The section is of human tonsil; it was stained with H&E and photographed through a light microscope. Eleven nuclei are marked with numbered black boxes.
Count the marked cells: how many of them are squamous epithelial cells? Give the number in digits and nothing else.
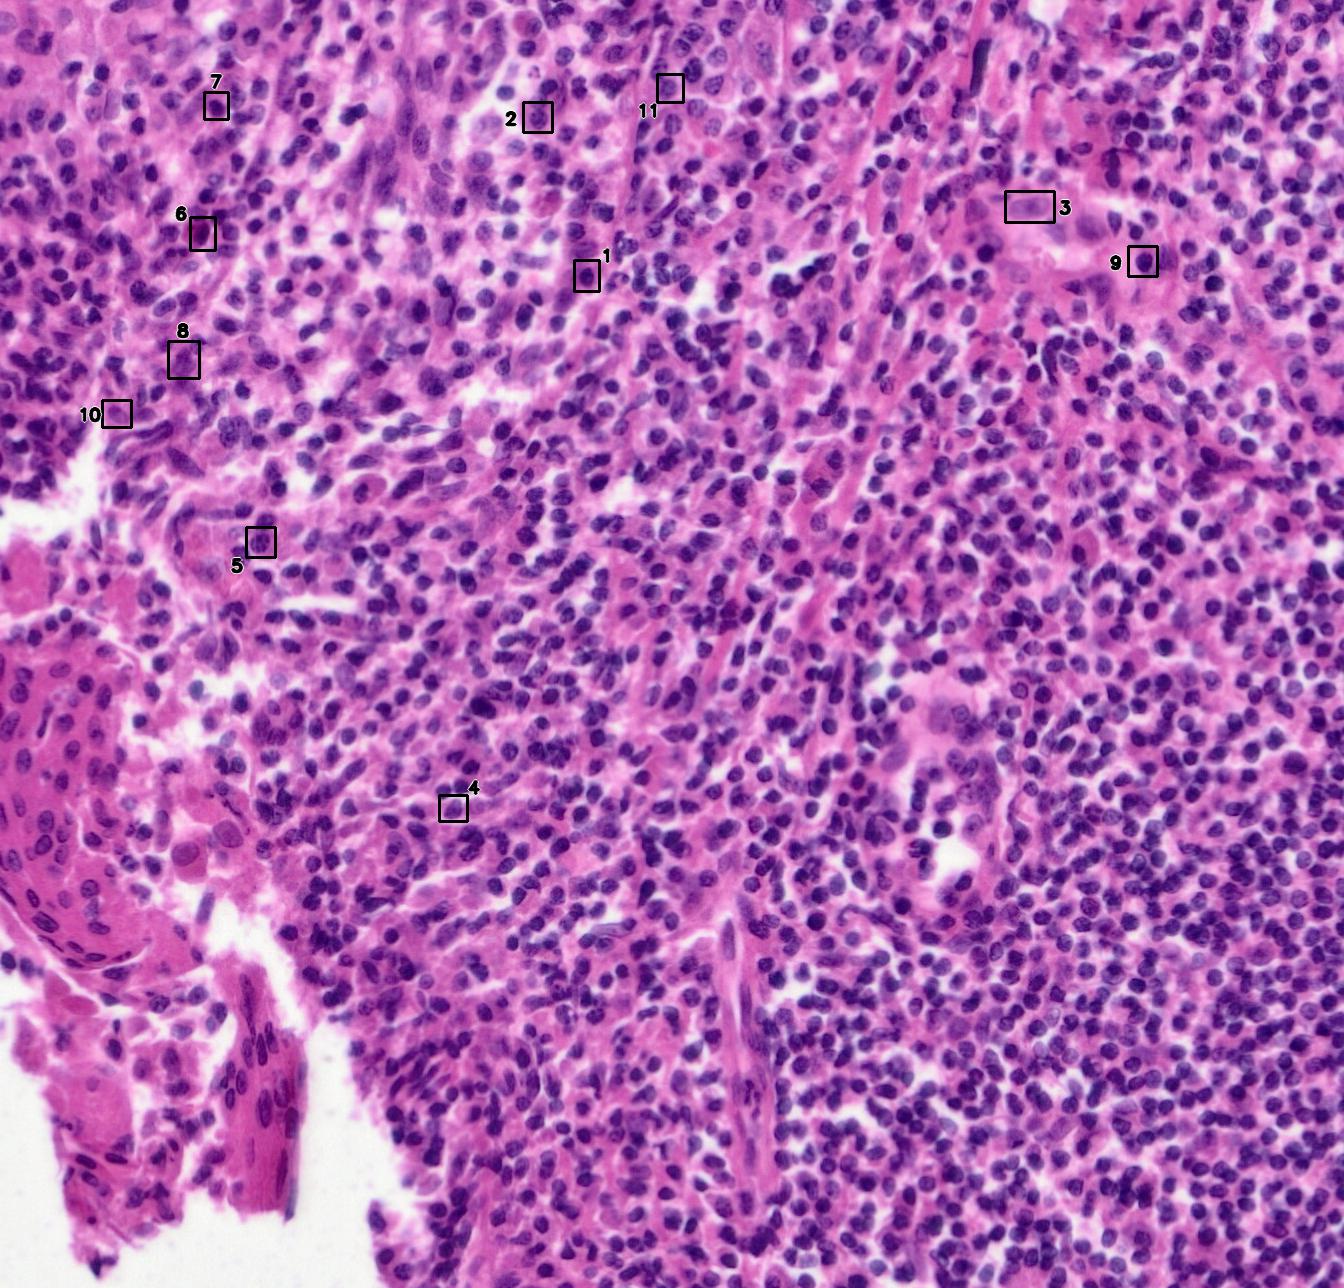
3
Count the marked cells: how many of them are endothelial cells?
2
